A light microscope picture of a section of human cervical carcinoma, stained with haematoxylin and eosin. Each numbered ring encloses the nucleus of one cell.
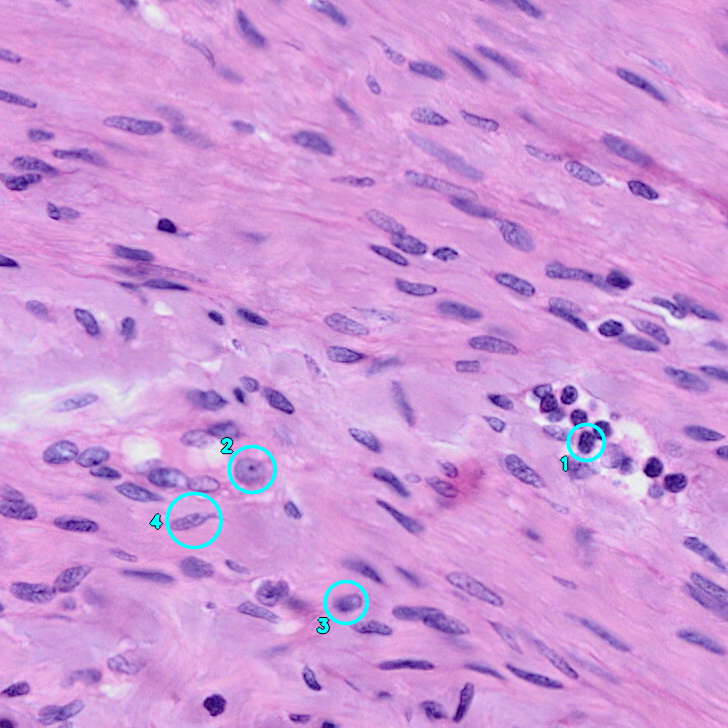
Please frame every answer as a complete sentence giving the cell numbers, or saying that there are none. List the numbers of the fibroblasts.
The cells tagged 3 and 4 are fibroblasts in this tissue section.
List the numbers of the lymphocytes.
In short, cell 1 is a lymphocyte; the others are not.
